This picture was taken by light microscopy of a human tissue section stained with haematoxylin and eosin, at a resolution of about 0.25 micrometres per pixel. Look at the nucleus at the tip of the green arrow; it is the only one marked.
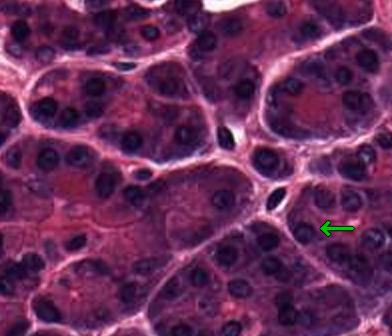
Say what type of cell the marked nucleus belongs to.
pancreatic acinar cell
